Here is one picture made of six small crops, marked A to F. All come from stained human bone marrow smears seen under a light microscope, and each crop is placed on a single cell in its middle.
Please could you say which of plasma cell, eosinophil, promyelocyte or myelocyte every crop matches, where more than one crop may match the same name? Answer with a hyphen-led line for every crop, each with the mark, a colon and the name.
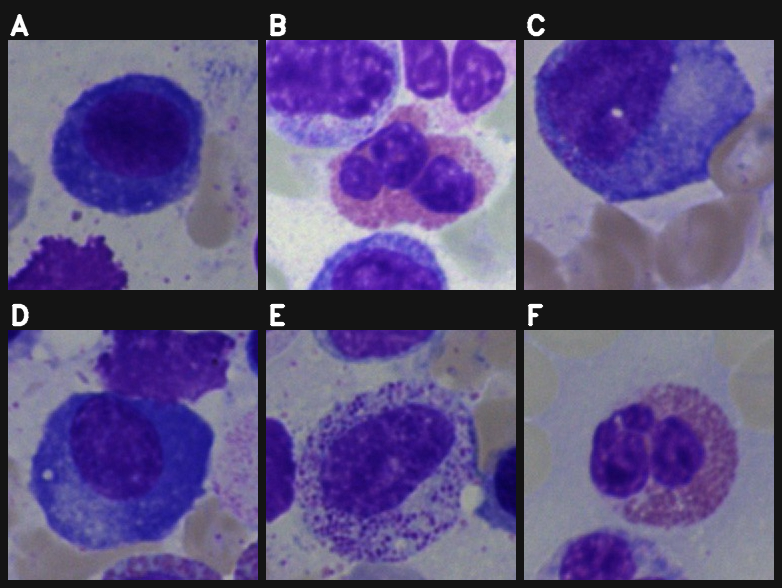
- A: plasma cell
- B: eosinophil
- C: plasma cell
- D: plasma cell
- E: myelocyte
- F: eosinophil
